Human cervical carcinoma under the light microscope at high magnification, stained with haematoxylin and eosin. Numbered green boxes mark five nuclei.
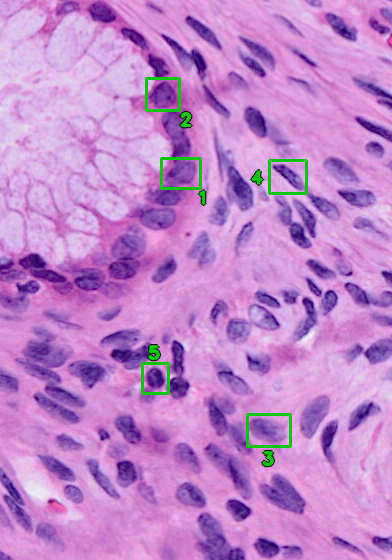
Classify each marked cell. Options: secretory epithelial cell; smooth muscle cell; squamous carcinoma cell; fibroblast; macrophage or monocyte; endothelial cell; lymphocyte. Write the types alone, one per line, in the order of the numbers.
secretory epithelial cell
secretory epithelial cell
fibroblast
fibroblast
lymphocyte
